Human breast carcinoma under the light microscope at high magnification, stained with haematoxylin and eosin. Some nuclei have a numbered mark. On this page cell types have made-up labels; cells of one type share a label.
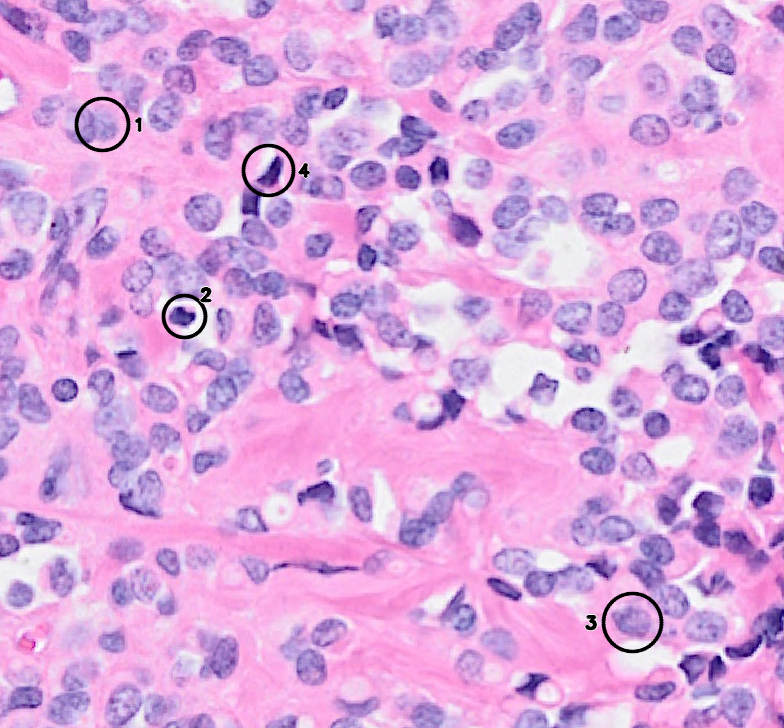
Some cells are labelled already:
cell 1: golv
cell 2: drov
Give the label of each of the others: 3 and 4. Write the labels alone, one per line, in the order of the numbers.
golv
golv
